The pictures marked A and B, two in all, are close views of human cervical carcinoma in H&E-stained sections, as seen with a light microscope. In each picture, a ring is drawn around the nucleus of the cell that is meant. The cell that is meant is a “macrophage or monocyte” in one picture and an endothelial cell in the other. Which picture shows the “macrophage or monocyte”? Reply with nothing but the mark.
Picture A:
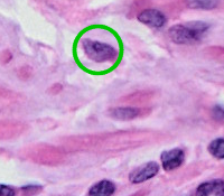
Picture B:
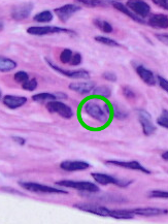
A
